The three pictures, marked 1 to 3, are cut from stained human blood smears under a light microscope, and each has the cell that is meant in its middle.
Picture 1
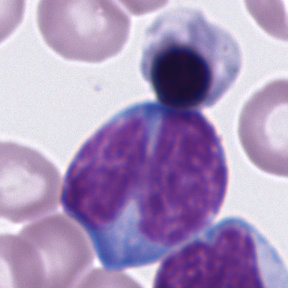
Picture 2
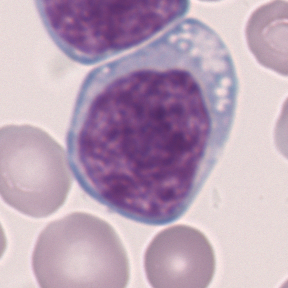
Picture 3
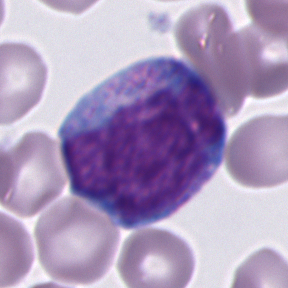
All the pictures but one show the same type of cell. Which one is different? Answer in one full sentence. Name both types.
All pictures except 3 show myeloblasts; picture 3 shows a promyelocyte.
